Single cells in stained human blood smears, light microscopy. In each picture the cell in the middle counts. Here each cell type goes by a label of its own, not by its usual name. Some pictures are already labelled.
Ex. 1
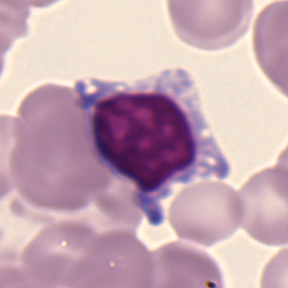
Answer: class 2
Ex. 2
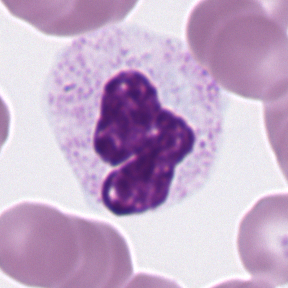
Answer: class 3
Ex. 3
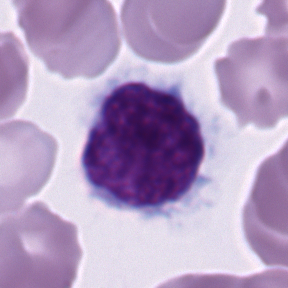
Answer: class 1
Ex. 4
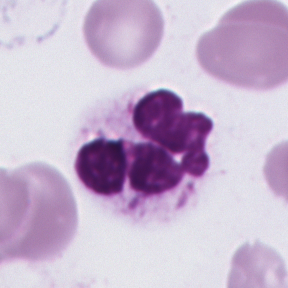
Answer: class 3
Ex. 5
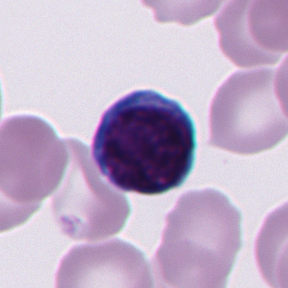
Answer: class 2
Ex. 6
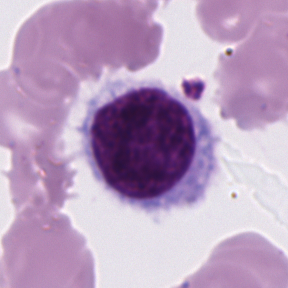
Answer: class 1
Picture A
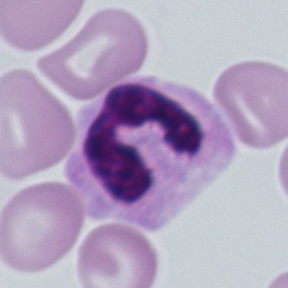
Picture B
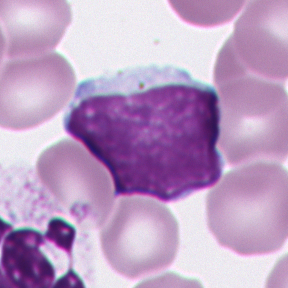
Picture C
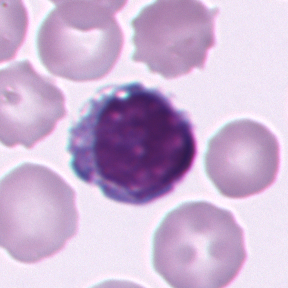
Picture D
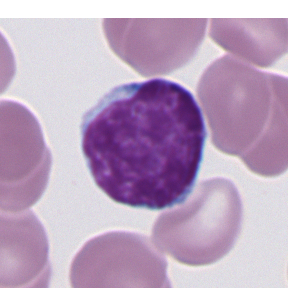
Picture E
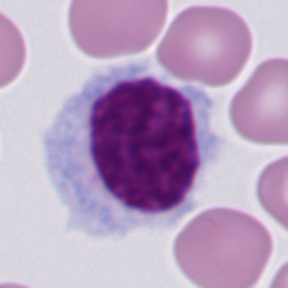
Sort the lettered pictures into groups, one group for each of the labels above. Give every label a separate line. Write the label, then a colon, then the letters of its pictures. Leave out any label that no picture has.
class 2: B, C, D
class 3: A
class 1: E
